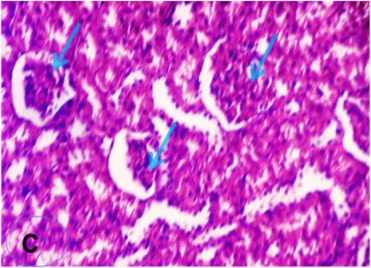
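This is renal cortex with several renal corpuscles among densely packed tubules. The glomerular tufts are small and compact, filled with purple nuclei, and pulled away from their capsules. Between each tuft and its capsule lies a wide, clear, crescent-shaped space. The surrounding tubules have intensely pink cytoplasm and are crowded together, with elongated clear slits between some of them. Tubular outlines are less distinct than in orderly cortex.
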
